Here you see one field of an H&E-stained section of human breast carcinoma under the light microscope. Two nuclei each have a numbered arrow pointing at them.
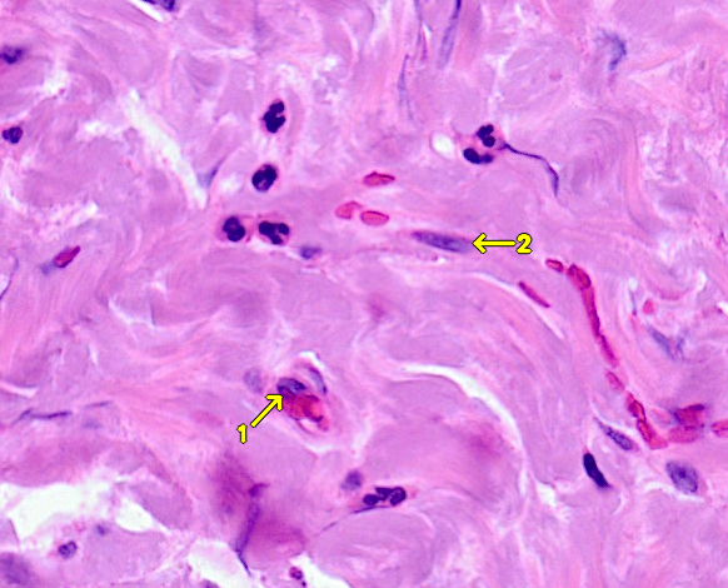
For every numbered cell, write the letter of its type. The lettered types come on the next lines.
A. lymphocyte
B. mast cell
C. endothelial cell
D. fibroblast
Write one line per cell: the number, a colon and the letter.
1: C
2: D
